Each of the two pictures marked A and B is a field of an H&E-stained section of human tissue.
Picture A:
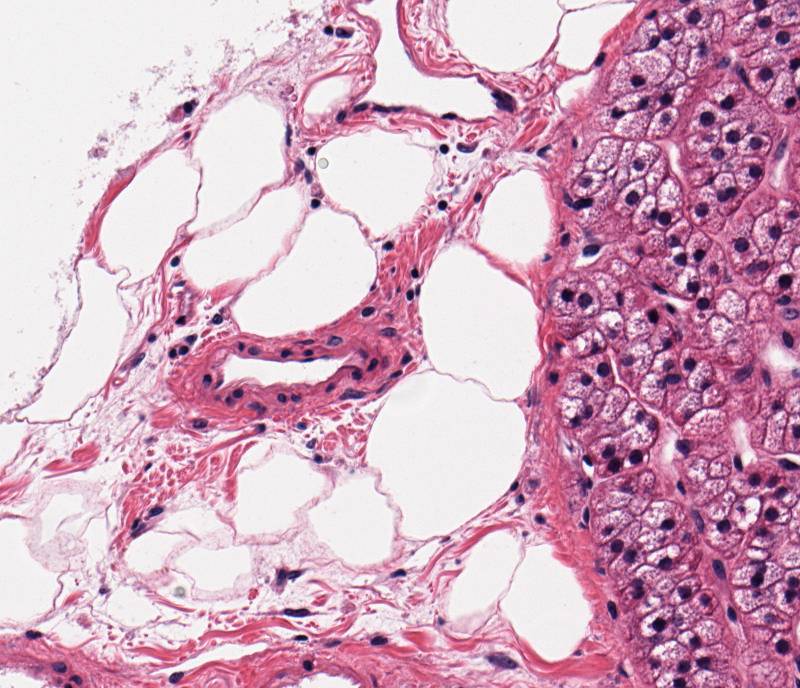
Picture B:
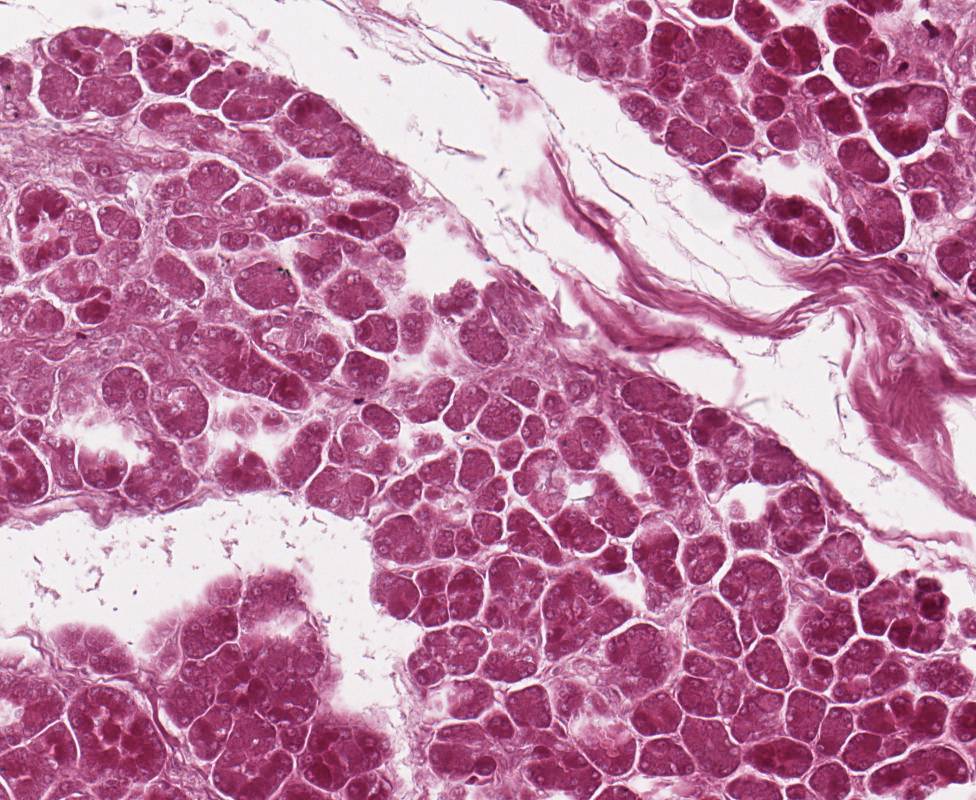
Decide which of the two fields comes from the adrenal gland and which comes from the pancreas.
A: adrenal gland
B: pancreas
